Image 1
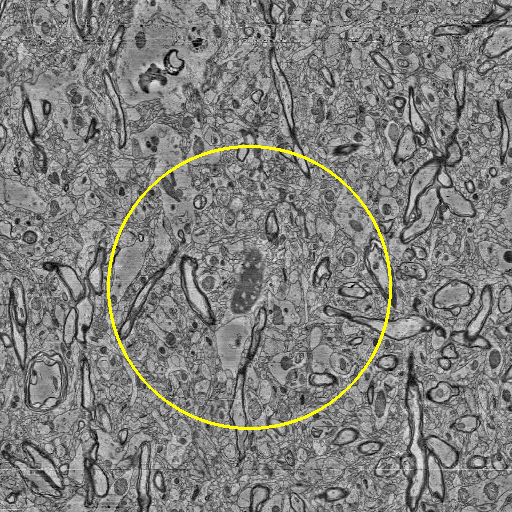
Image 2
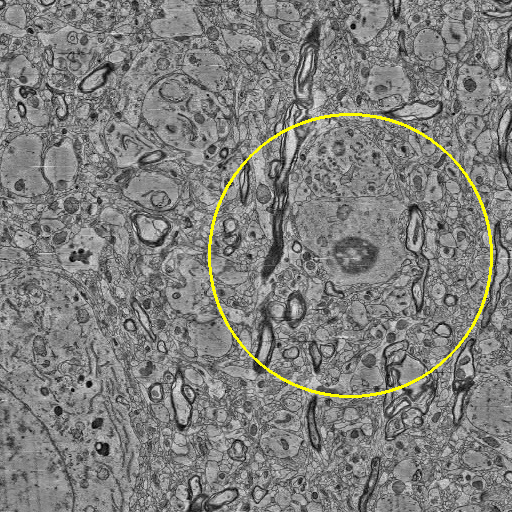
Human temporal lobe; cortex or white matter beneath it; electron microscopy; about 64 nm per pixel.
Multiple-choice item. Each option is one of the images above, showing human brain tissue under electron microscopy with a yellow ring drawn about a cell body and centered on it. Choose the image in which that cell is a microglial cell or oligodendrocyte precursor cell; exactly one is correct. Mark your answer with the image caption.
Image 1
